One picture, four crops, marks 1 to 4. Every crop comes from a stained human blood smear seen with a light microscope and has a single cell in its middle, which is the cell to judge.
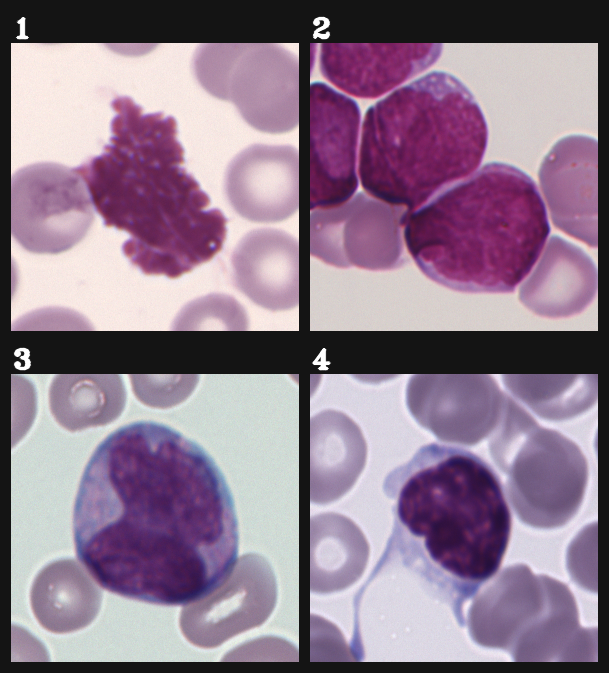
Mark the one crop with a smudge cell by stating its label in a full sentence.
Crop 1 is the crop containing a smudge cell.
